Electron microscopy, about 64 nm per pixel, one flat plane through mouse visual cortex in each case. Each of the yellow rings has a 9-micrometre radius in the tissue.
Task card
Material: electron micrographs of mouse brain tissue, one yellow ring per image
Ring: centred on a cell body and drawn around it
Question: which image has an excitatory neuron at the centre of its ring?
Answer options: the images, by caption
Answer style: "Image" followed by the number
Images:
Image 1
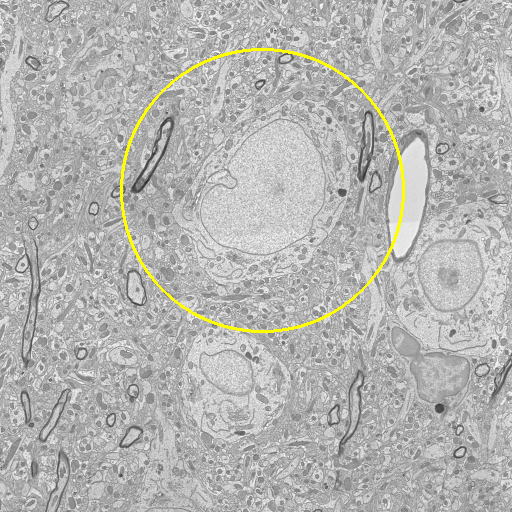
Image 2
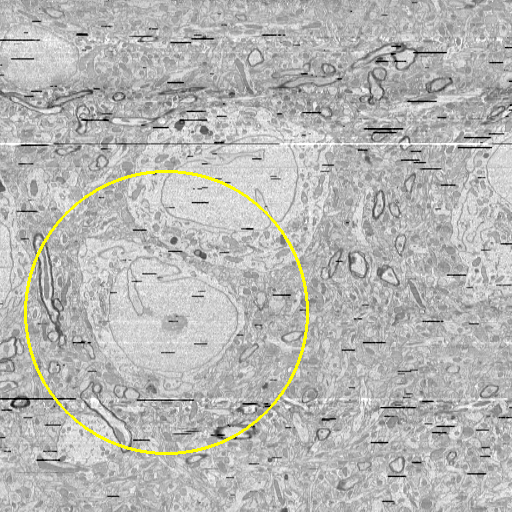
Image 1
